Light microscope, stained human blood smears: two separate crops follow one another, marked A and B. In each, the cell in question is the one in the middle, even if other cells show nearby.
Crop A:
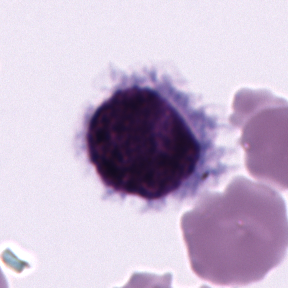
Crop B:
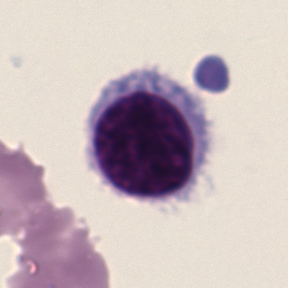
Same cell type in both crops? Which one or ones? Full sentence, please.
Yes, both crops, not just one, show hairy cells.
